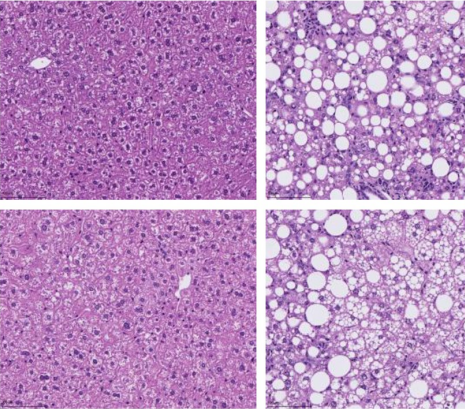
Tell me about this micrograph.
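This is liver tissue stained with hematoxylin and eosin, shown as four fields, with hepatocytes as the main cells. In the left two fields, polygonal hepatocytes with pink cytoplasm and round purple nuclei lie packed closely around a small vessel. In the right two fields, the hepatocytes are filled with clear, round, empty-looking vacuoles of many sizes, some large enough to fill most of a cell, with small clusters of dark nuclei lying between them.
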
